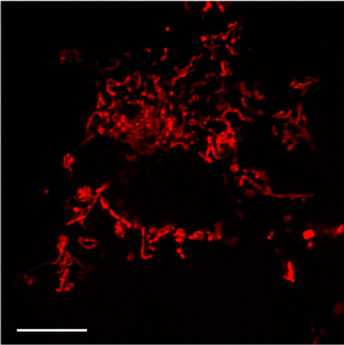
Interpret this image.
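The red structures are thread-like tubules, short rods and small dots, many of them curved or branched. A dense cluster of small fragments and tubules lies in the upper middle of the field, while longer tubules run in bands toward the lower left and lower right. A large dark area without red structures lies at the centre of the field, and the labelled mitochondria surround it. A few bright isolated red fragments are seen at the right edge.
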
